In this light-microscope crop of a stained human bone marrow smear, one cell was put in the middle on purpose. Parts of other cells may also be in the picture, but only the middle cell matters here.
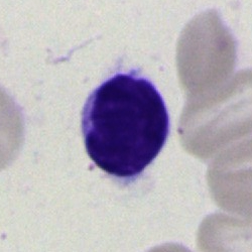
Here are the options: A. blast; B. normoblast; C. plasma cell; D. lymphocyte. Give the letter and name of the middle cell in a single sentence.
In the middle of the crop is a lymphocyte; option D is therefore correct.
